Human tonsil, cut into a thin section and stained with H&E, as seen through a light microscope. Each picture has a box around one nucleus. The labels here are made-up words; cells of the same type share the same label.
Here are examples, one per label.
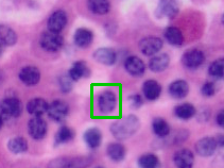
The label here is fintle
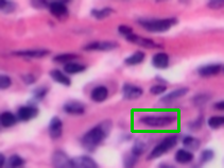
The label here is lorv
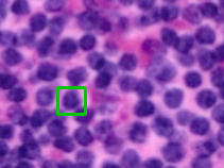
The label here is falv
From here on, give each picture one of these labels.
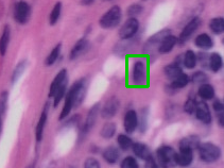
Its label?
lorv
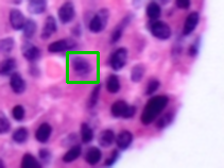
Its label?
lorv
